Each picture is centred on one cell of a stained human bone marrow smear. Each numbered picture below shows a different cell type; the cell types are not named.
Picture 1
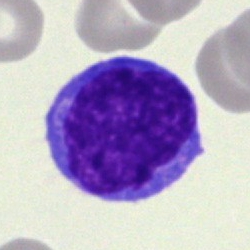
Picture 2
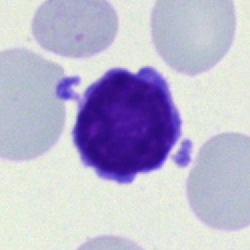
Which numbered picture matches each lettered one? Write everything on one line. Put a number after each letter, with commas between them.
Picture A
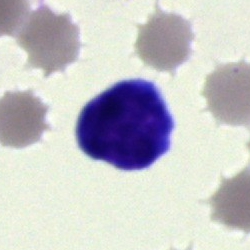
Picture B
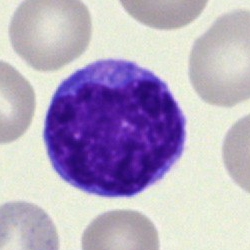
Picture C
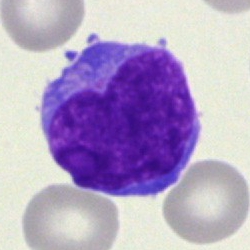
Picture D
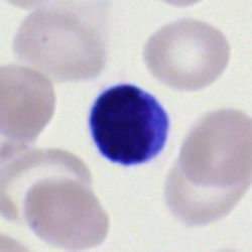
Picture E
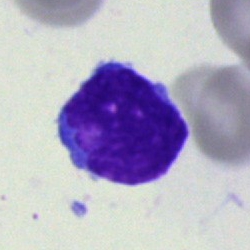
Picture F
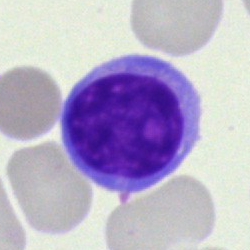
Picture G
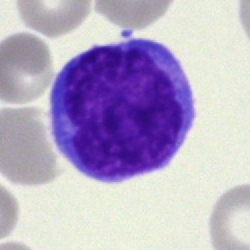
A 2, B 1, C 1, D 2, E 1, F 2, G 1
